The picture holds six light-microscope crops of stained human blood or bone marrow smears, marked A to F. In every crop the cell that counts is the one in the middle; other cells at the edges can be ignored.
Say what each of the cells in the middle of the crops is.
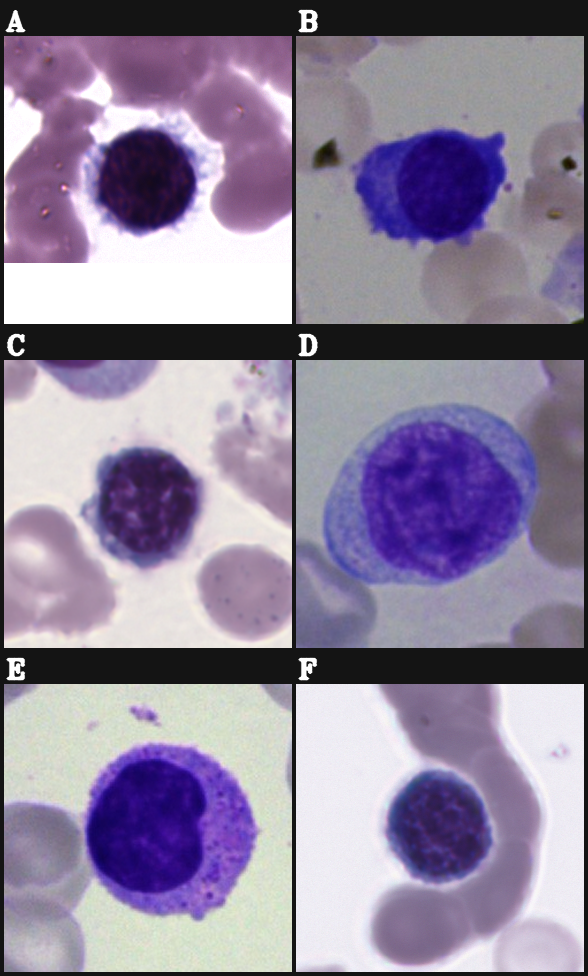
A: hairy cell
B: plasma cell
C: plasma cell
D: myelocyte
E: myelocyte
F: plasma cell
